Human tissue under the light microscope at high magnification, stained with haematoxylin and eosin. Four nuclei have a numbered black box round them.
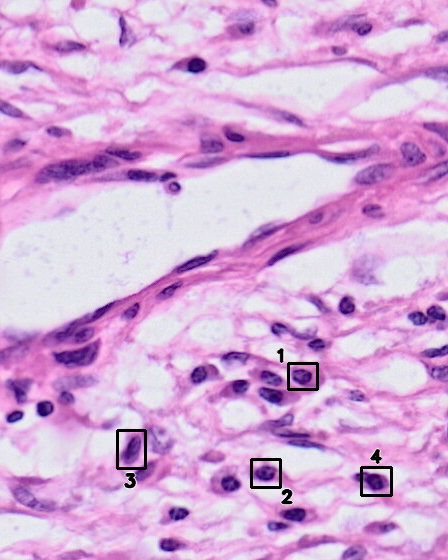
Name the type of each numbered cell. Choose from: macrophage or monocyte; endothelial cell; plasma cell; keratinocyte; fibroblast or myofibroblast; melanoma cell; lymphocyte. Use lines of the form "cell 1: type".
cell 1: plasma cell
cell 2: plasma cell
cell 3: macrophage or monocyte
cell 4: plasma cell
